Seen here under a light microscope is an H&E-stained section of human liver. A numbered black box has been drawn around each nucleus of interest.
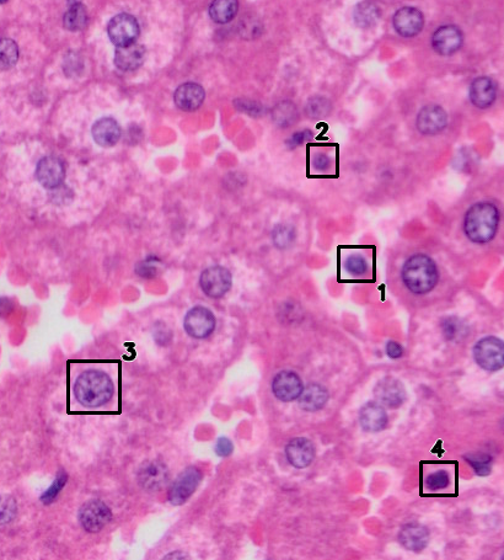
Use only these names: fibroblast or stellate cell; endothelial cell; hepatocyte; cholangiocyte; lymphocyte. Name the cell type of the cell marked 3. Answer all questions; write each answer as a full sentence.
The nucleus labelled 3 belongs to a hepatocyte.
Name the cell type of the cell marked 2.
Cell 2 in the field of view is a lymphocyte.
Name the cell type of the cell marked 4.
Corresponding to a lymphocyte is the cell labelled 4.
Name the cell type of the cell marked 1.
The cell assigned the number 1 is a lymphocyte.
